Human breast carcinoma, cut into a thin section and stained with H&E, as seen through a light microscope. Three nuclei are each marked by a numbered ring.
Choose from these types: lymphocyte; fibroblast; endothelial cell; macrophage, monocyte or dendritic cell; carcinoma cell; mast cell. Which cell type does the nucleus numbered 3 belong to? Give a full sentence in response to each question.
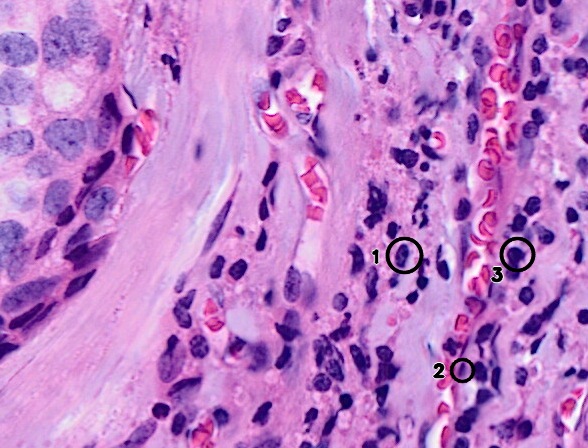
The nucleus labeled 3 belongs to a lymphocyte.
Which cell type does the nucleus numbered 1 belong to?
Cell 1, as marked in the section, is a lymphocyte.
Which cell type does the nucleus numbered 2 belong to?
The nucleus labeled 2 belongs to an endothelial cell.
